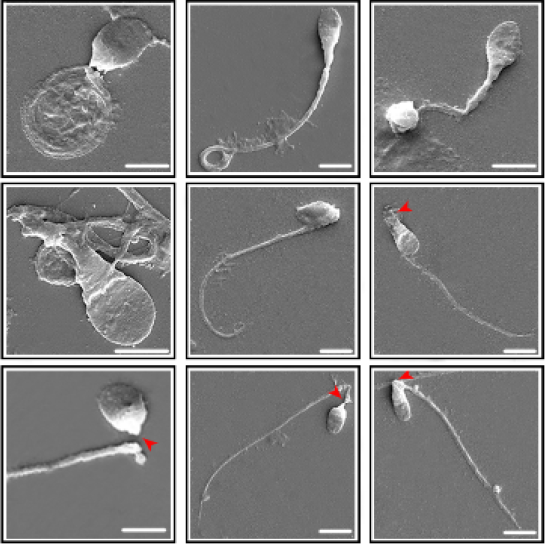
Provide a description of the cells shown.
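Nine grey surface views show single spermatozoa lying on a smooth background. Heads are rounded or irregular, and the tails vary greatly. In one field the tail is coiled into a large flattened disc beside the head; in another the tail ends in a loop; others are short, thickened or bent. Red arrowheads mark the junction between head and tail.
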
